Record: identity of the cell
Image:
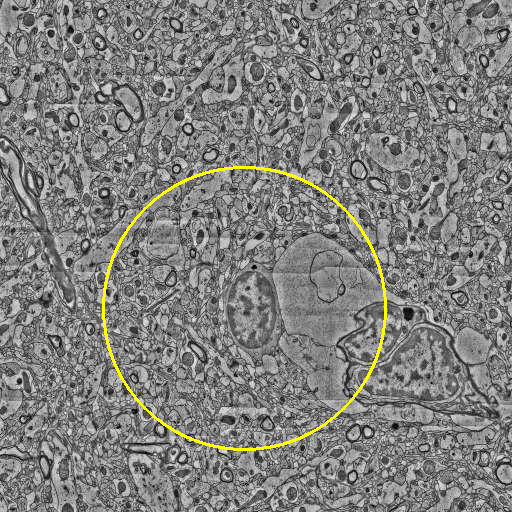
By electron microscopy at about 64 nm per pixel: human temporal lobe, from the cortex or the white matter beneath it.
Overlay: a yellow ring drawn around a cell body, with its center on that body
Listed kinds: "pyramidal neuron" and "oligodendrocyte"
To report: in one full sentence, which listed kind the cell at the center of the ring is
In the image, the cell body at the ring's center belongs to an oligodendrocyte.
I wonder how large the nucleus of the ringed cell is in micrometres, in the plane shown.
In this plane, roughly 5 by 3 micrometres.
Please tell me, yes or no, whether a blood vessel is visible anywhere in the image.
Yes, there is a blood vessel.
